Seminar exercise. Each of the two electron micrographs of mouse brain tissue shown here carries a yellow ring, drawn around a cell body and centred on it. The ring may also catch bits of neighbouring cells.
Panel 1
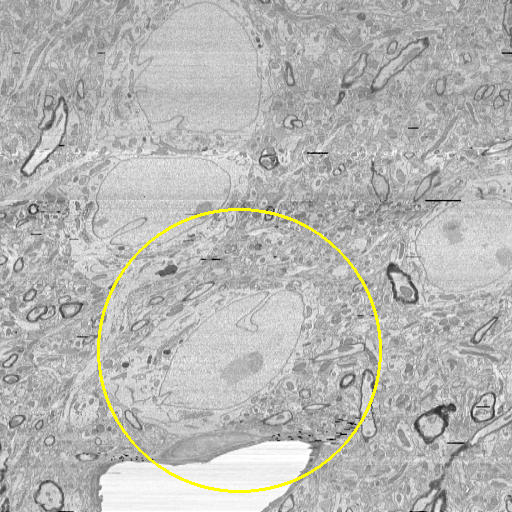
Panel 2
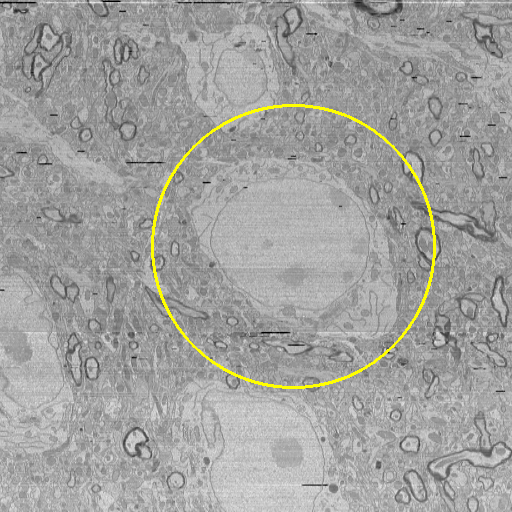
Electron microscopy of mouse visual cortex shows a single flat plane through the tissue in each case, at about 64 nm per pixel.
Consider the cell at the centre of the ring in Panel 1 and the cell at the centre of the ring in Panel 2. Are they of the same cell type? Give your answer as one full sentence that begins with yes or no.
Yes, both cells are of the same type.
